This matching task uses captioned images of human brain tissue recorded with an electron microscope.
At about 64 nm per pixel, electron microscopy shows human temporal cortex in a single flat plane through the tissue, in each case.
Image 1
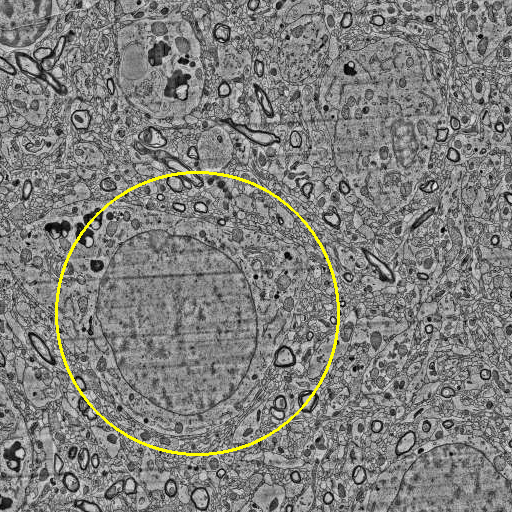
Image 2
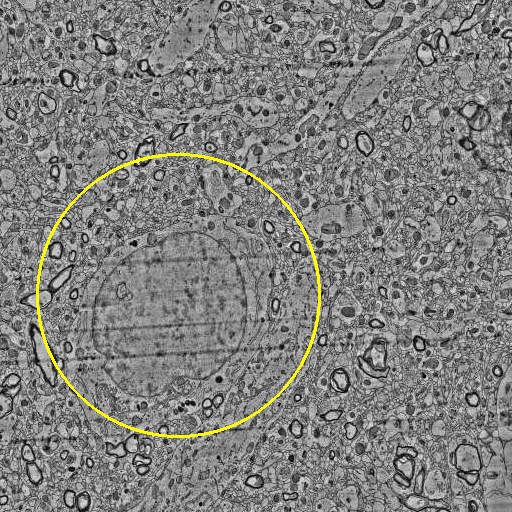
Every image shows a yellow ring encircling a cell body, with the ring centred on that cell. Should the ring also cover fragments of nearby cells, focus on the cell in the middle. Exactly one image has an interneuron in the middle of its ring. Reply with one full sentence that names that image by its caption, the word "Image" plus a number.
Image 2 shows the cell in question at the centre of its yellow ring.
